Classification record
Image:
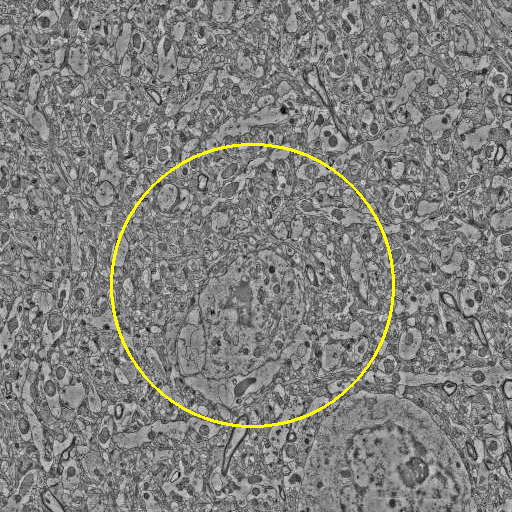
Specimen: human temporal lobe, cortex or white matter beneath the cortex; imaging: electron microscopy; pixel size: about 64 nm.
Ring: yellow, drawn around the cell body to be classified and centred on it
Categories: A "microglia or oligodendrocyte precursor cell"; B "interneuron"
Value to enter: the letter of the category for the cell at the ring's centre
B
